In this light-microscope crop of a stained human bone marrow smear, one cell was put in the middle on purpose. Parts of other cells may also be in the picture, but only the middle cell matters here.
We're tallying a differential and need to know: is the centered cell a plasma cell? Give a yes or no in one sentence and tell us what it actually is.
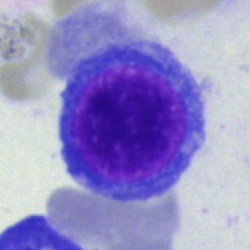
No, the label for the central cell is an erythroblast, not a plasma cell.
